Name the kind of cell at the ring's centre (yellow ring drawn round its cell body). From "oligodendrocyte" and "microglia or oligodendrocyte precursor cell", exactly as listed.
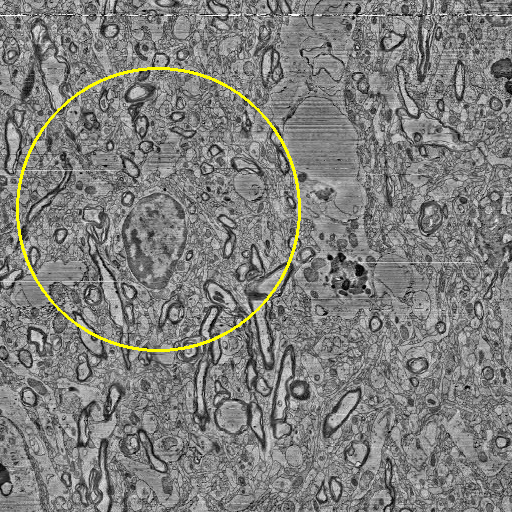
microglia or oligodendrocyte precursor cell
